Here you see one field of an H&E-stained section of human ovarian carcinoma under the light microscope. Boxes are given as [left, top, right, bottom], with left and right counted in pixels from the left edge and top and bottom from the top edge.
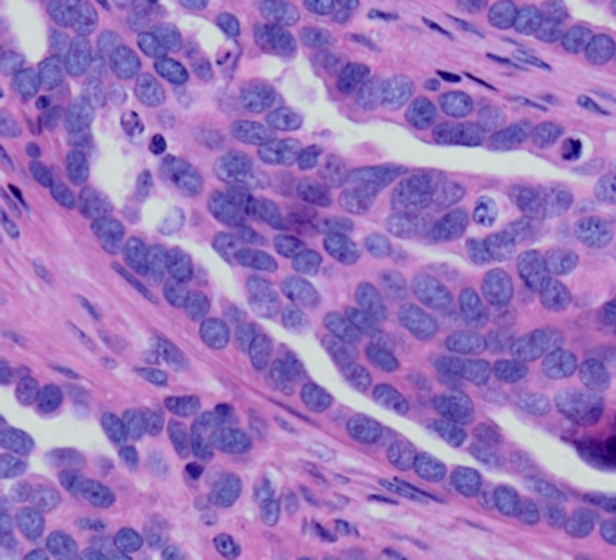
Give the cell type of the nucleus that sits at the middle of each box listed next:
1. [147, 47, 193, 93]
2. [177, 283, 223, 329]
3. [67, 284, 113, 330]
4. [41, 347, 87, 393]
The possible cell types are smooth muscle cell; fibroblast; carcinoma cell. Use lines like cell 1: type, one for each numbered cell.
cell 1: carcinoma cell
cell 2: carcinoma cell
cell 3: fibroblast
cell 4: fibroblast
